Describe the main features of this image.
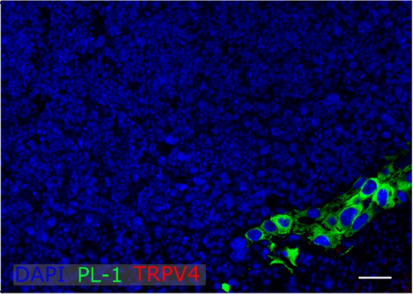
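This magnified field of placenta is filled mostly by densely packed small cells whose blue nuclei crowd the tissue without any clear layering. At the lower right lies a small cluster of parietal trophoblast giant cells, far larger than their neighbours. Their cytoplasm is outlined in green, and each holds a large, round blue nucleus. The giant cells sit side by side in a short band that runs toward the edge of the field. No red signal stands out anywhere in the field.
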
